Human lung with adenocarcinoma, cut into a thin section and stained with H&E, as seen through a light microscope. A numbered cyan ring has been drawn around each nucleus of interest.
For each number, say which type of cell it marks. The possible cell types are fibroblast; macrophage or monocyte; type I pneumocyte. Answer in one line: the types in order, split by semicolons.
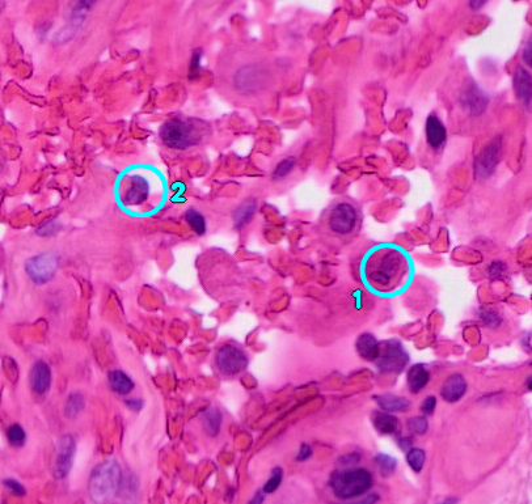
macrophage or monocyte; type I pneumocyte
